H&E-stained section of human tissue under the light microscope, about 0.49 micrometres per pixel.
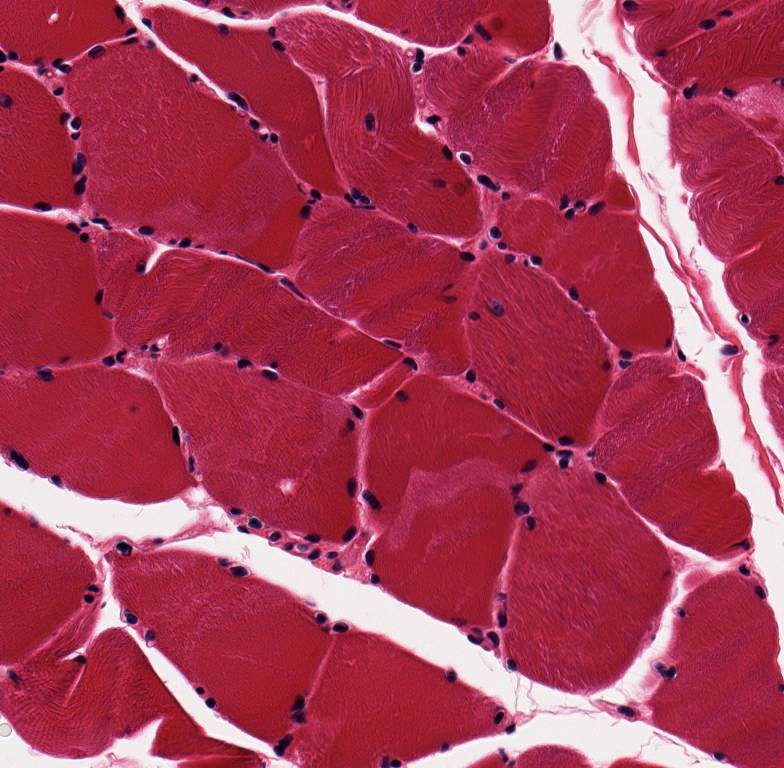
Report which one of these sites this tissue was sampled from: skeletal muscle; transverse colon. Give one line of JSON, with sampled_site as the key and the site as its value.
{"sampled_site": "skeletal muscle"}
